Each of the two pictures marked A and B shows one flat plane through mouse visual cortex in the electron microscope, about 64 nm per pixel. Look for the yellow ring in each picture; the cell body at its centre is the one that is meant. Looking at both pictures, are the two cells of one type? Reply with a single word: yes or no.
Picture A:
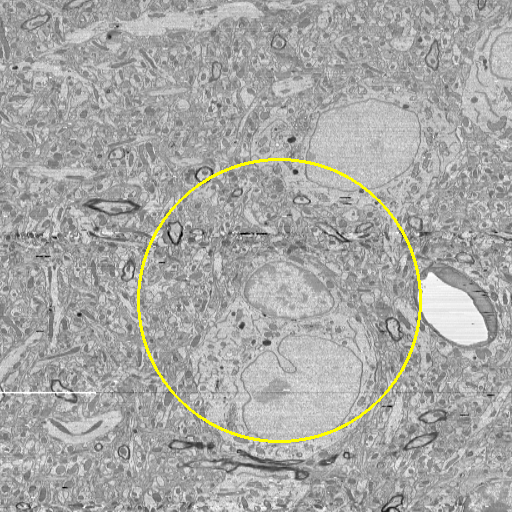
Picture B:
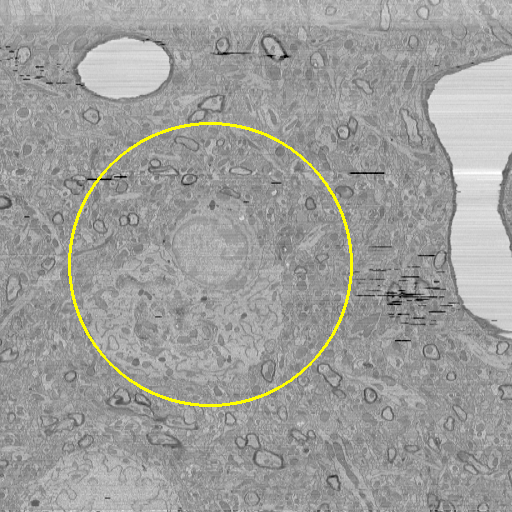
yes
